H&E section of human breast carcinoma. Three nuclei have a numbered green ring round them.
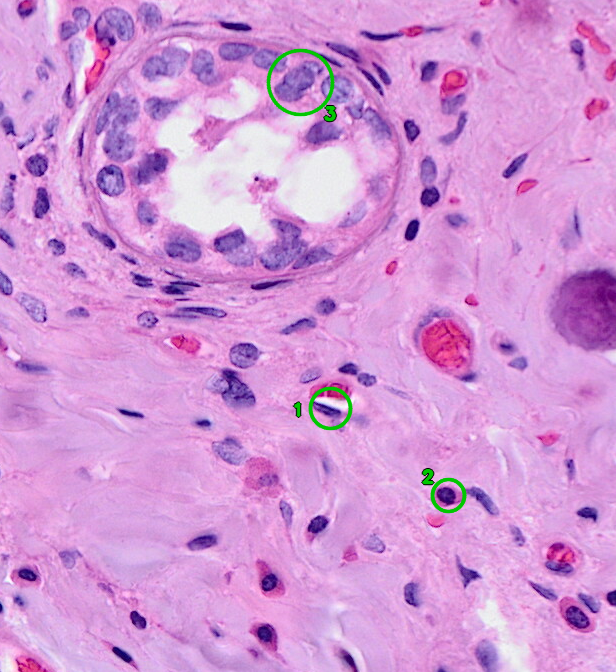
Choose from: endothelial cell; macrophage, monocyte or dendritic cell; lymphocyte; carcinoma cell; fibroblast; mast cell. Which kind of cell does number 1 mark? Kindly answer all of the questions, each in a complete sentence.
The nucleus marked 1 is the nucleus of an endothelial cell.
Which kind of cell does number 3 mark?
The cell marked with the number 3 is a carcinoma cell.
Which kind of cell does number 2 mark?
The cell marked with number 2 is a mast cell.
